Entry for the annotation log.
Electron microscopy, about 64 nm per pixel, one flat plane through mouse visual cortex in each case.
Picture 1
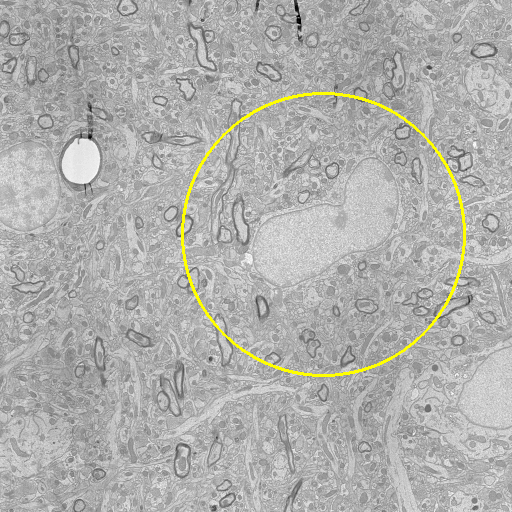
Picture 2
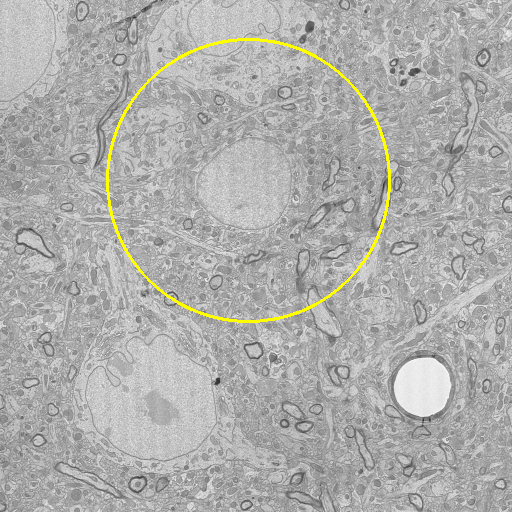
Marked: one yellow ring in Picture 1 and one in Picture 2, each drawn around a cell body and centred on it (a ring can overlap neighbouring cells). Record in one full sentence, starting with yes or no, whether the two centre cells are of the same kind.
Yes, both cells are of the same kind.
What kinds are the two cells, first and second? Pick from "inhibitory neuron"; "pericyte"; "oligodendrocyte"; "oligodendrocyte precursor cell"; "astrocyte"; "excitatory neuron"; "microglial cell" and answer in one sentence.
The cell at the ring centre is an astrocyte in both pictures.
